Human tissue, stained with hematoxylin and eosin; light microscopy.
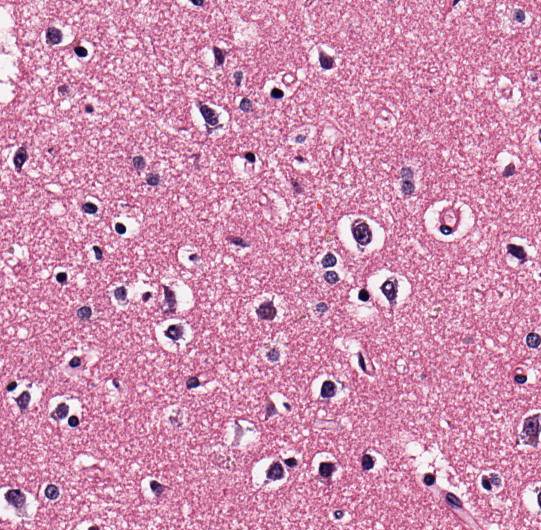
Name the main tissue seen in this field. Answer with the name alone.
cerebral cortex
